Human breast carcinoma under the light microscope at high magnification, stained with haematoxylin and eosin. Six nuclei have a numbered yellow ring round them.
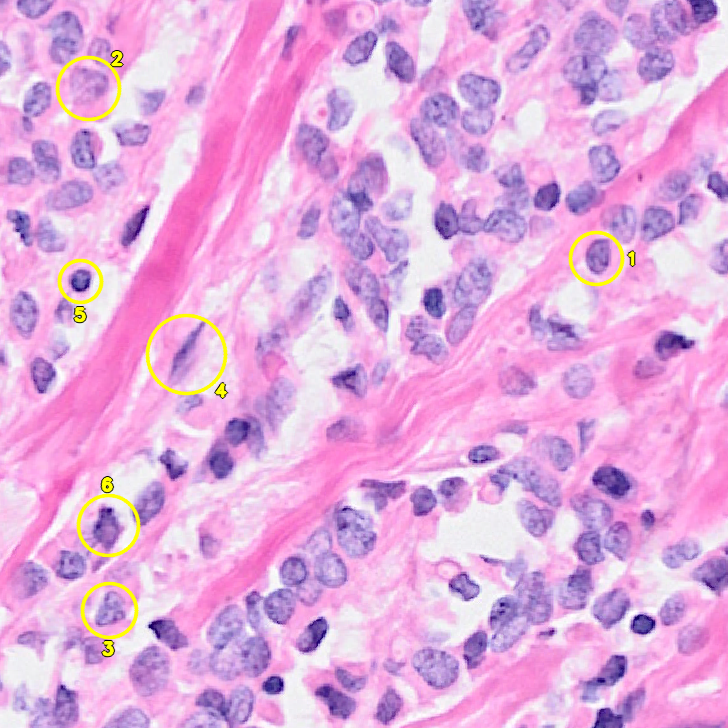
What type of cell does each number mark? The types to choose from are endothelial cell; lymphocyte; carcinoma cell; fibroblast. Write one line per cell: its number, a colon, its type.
1: carcinoma cell
2: carcinoma cell
3: carcinoma cell
4: fibroblast
5: lymphocyte
6: carcinoma cell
